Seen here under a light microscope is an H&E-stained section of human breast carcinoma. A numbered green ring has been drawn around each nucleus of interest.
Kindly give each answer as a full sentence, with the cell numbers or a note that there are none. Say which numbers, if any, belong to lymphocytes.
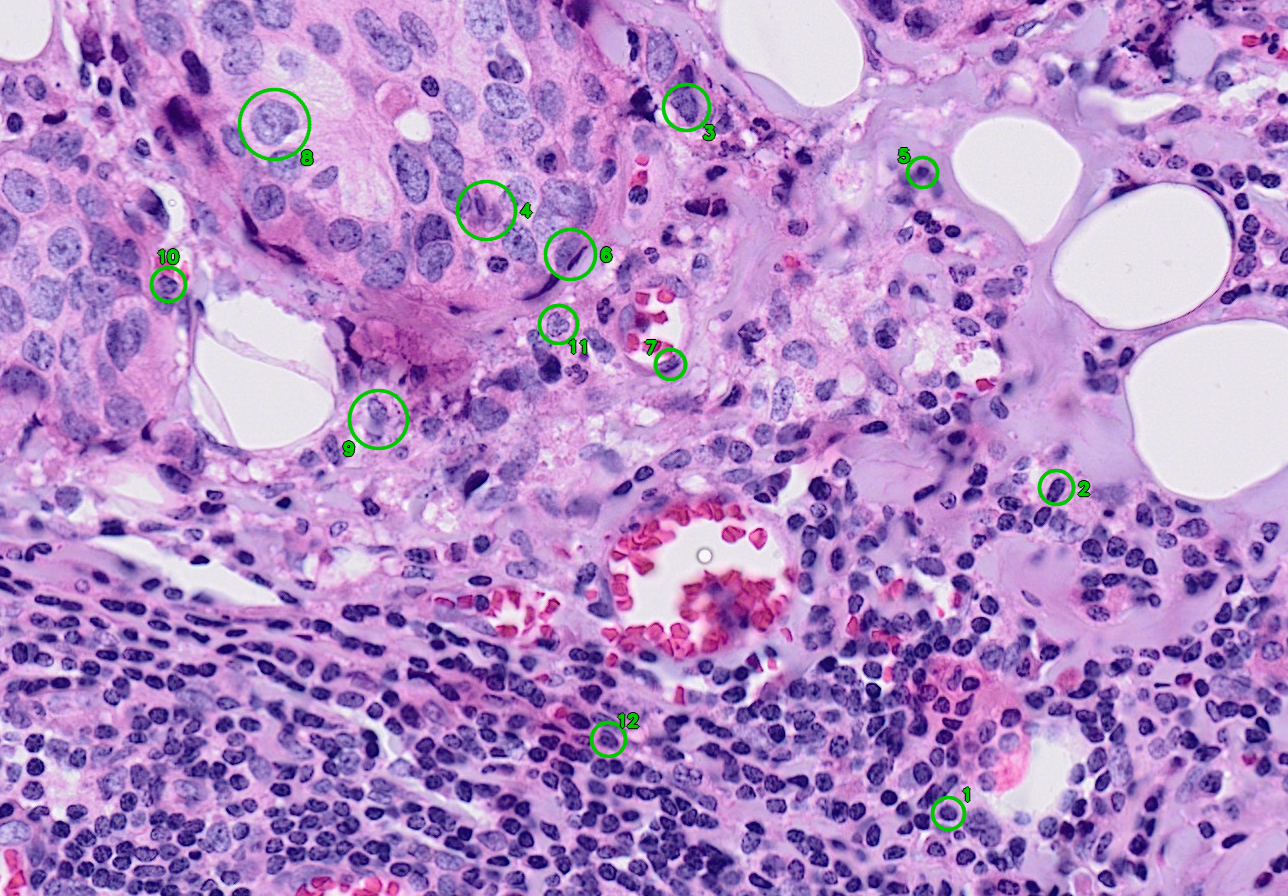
Classified as lymphocytes are the cells numbered 1, 2, 5 and 12.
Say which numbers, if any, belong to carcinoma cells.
Classified as carcinoma cells are the cells numbered 3, 4, 6 and 8.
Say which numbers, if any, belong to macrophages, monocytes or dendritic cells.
The cells marked with the numbers 9 and 11 are macrophages, monocytes or dendritic cells.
